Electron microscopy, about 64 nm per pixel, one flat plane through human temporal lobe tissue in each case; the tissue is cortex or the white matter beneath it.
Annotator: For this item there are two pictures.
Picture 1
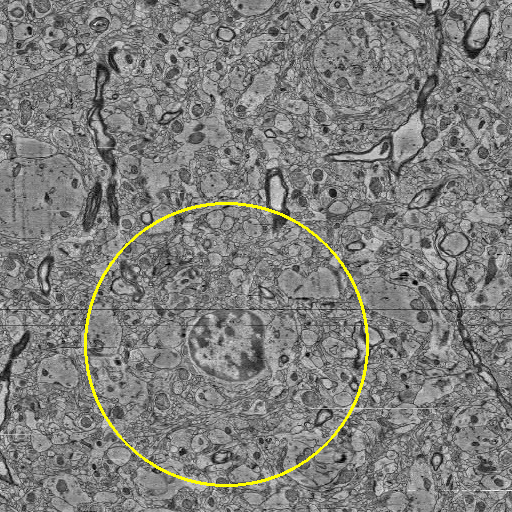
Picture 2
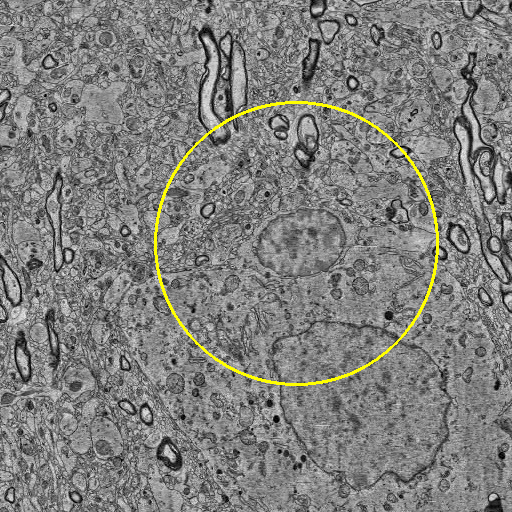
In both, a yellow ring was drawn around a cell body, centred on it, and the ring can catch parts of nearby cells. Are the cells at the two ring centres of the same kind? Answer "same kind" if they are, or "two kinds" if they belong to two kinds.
two kinds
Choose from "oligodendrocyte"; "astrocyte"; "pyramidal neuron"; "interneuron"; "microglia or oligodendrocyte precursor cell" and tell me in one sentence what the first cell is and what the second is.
What the first ring is centred on is a microglial cell or oligodendrocyte precursor cell; what the second ring is centred on is an oligodendrocyte.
